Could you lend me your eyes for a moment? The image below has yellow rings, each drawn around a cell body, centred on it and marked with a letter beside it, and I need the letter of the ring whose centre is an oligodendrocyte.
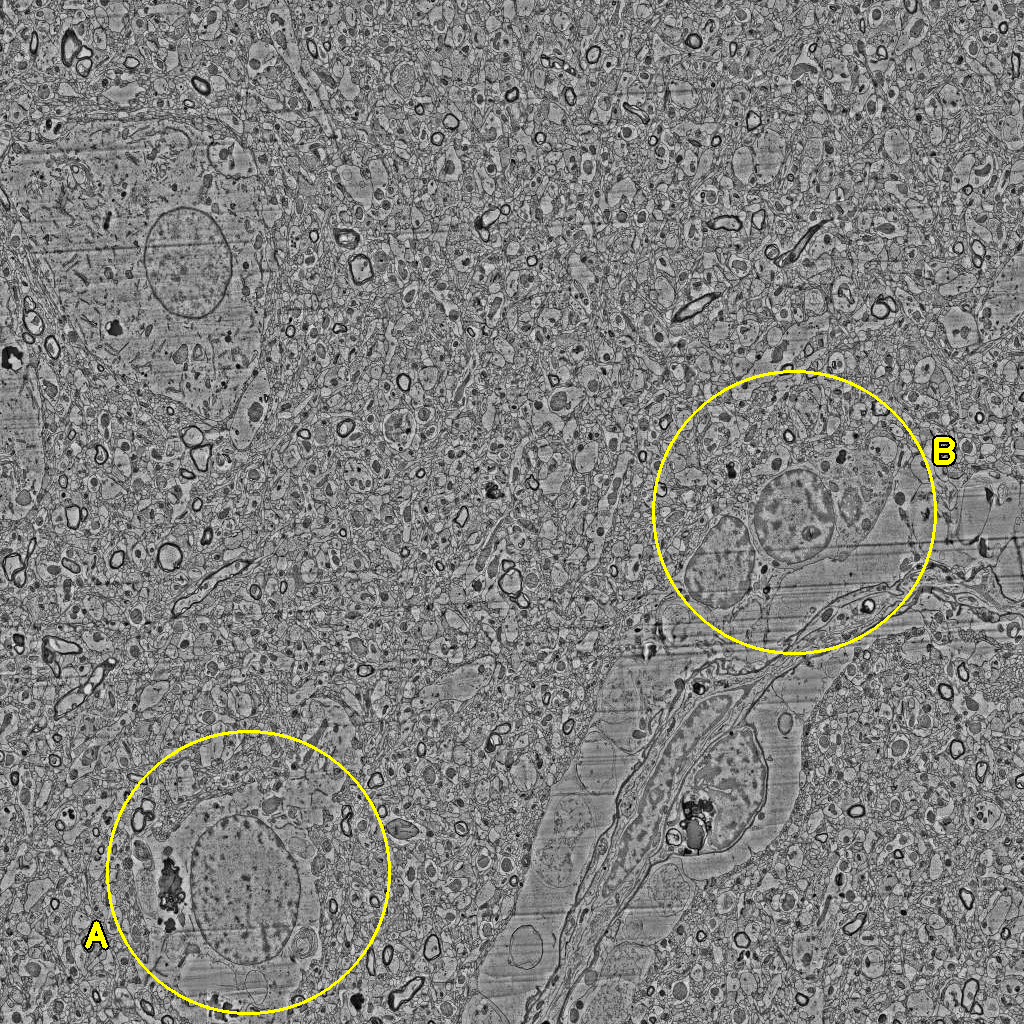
B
